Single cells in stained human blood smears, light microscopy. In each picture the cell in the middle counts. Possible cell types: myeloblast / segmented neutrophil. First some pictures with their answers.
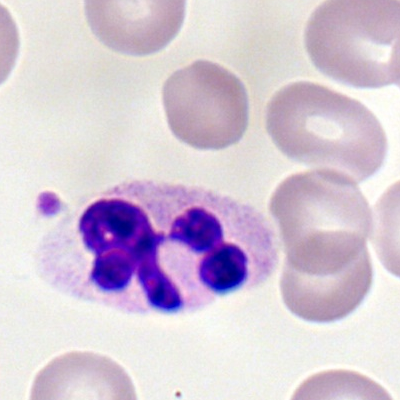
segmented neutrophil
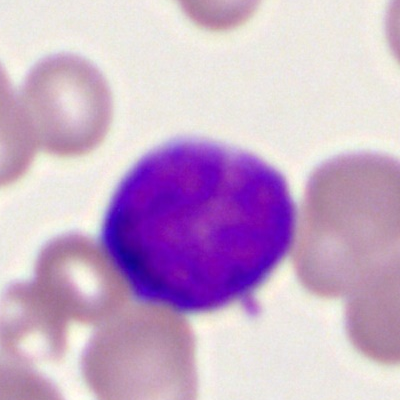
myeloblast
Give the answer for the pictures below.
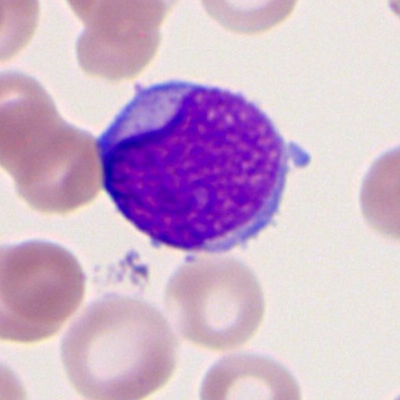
myeloblast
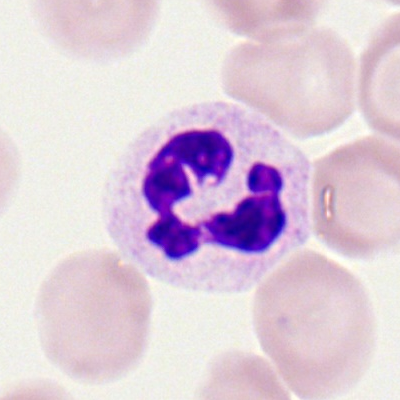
segmented neutrophil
